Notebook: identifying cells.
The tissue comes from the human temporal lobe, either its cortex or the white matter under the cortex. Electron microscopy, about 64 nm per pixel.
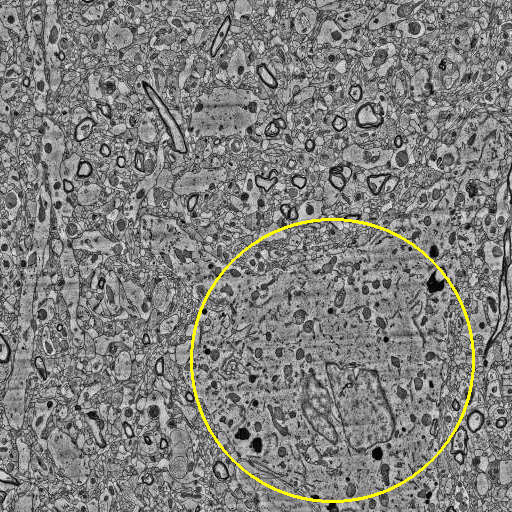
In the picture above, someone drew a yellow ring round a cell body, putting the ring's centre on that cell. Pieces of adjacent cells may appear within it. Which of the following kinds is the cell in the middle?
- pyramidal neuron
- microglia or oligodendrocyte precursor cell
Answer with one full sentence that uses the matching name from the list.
In this picture, the yellow ring is centred on the body of a pyramidal neuron.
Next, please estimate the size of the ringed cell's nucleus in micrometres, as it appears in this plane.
Roughly 7 by 5 micrometres is the size of the nucleus in this plane.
